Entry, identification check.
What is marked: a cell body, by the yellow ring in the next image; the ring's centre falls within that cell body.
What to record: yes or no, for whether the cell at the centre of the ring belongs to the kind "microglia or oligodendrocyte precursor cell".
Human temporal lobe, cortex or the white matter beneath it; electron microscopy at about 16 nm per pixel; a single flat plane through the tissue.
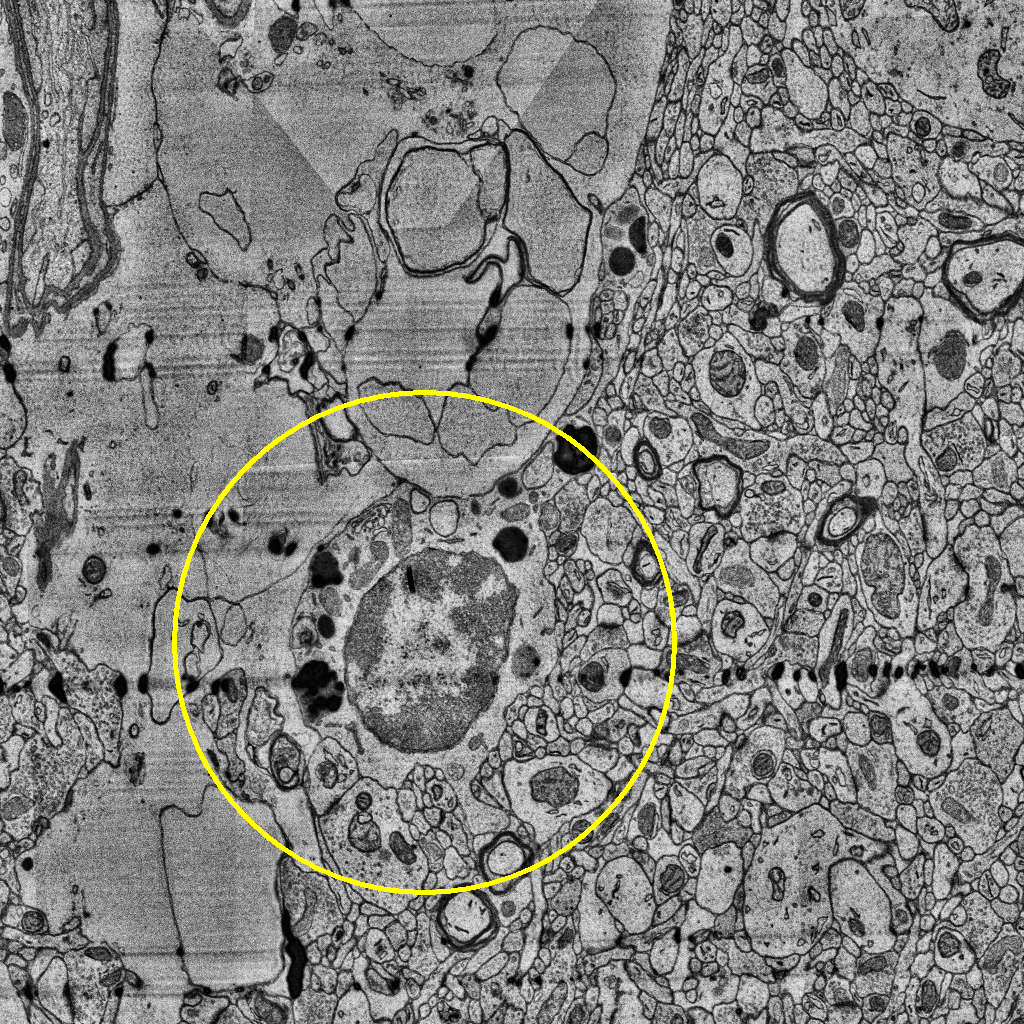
Yes, it belongs to that kind.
